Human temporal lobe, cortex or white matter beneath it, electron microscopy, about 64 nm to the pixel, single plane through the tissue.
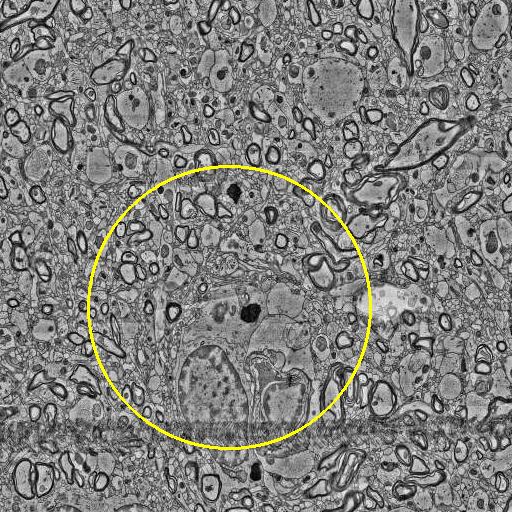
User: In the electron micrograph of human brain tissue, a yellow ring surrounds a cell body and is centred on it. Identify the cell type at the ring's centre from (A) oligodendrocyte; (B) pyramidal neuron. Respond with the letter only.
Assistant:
A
